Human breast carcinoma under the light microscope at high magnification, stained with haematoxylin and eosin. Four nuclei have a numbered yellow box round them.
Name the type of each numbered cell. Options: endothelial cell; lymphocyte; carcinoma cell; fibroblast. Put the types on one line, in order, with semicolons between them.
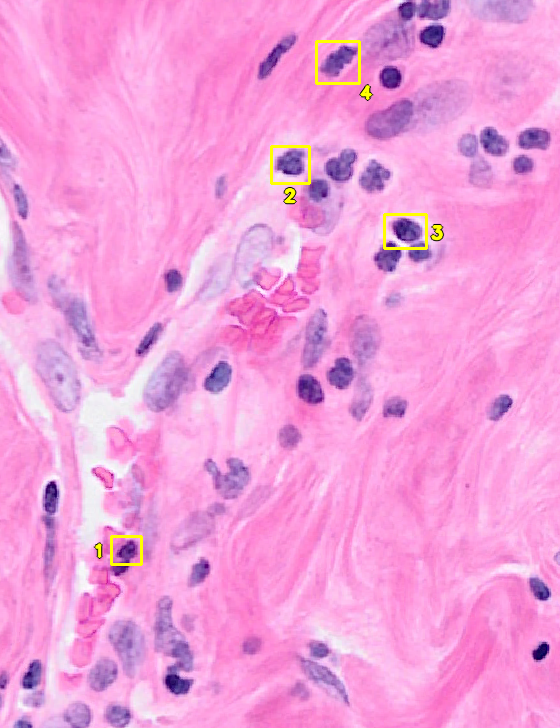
endothelial cell; lymphocyte; lymphocyte; lymphocyte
